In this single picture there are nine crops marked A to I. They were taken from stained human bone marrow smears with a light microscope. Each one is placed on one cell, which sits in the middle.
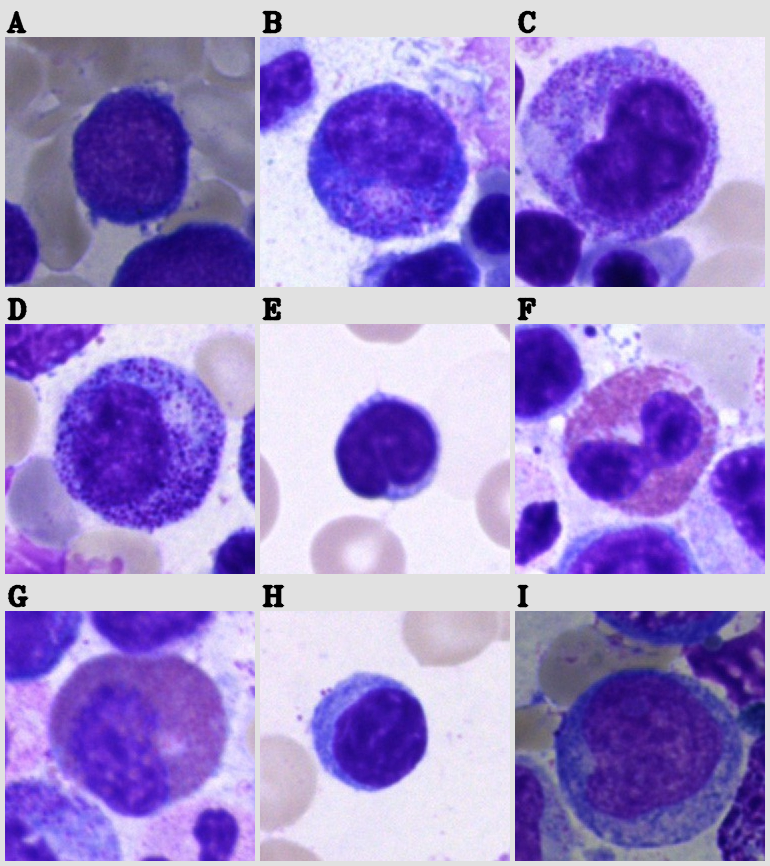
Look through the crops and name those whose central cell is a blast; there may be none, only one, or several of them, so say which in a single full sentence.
On review, crops A and I show blasts.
